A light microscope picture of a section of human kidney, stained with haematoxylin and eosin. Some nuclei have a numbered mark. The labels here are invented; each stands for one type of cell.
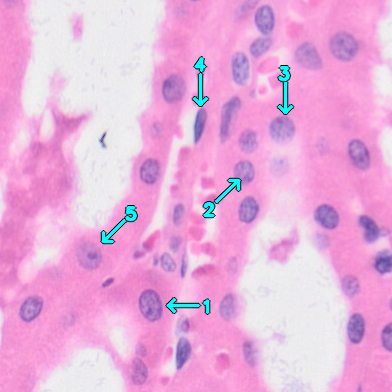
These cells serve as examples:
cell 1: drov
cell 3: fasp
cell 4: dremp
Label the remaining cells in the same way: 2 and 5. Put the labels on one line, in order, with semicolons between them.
fasp; drov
